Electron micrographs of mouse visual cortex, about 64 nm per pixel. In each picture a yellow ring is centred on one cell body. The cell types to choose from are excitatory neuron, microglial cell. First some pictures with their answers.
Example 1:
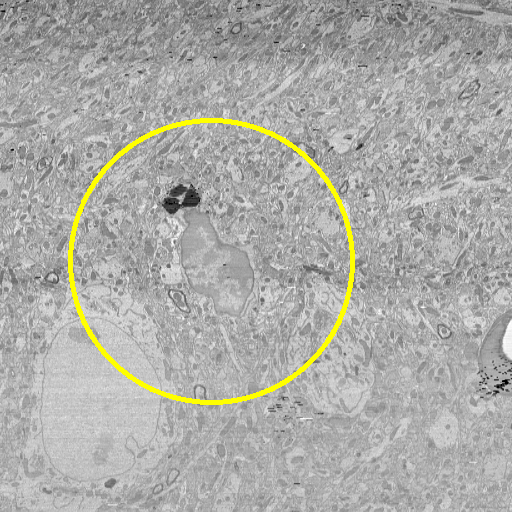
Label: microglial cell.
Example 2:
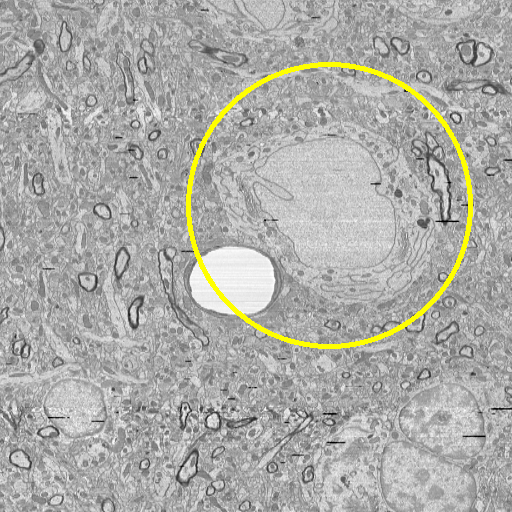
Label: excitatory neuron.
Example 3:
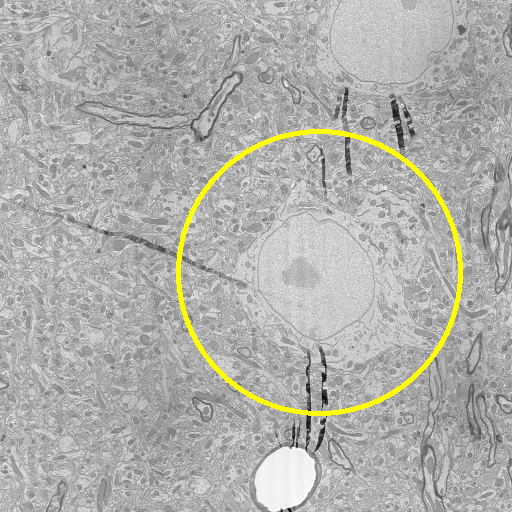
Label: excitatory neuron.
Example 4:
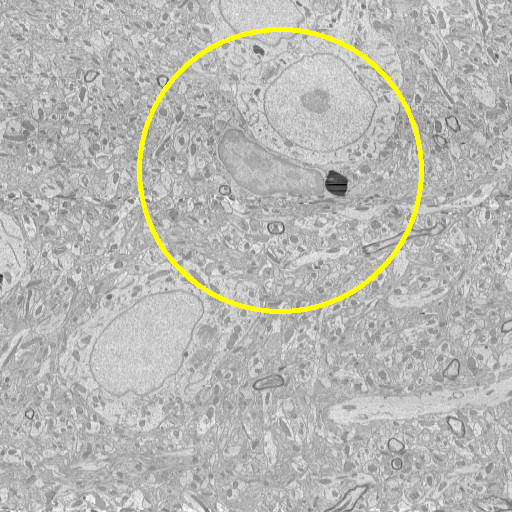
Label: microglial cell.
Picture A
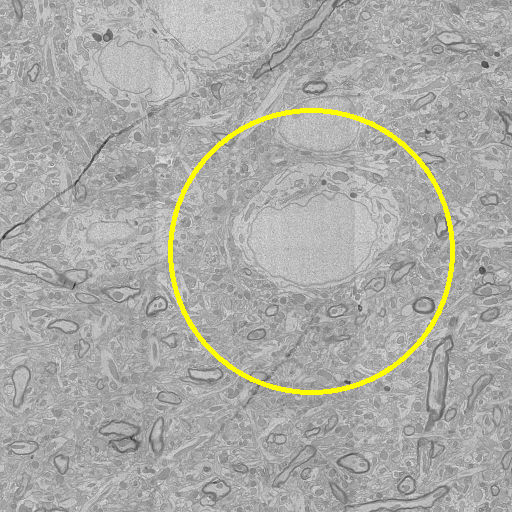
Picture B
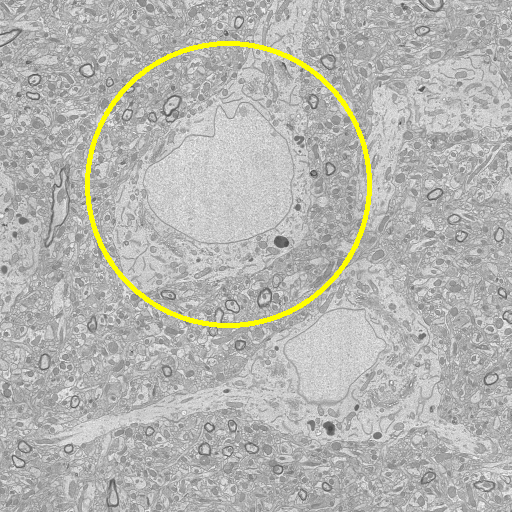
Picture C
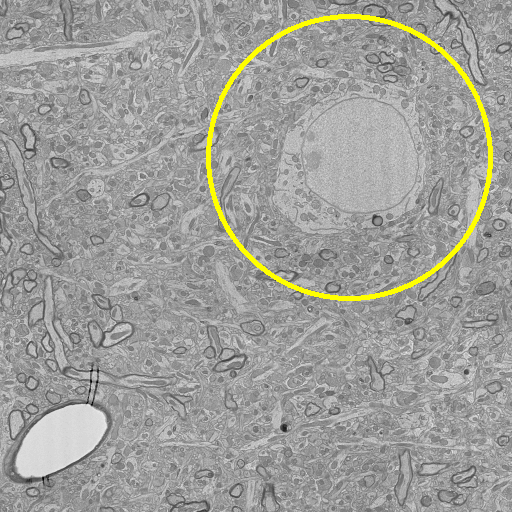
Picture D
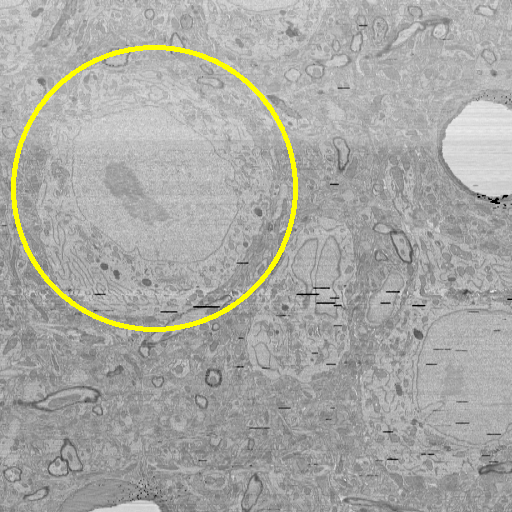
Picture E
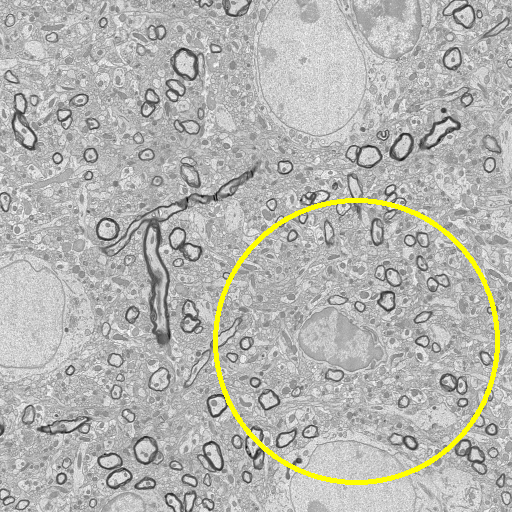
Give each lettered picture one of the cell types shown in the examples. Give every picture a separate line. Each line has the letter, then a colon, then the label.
A: excitatory neuron.
B: excitatory neuron.
C: excitatory neuron.
D: excitatory neuron.
E: microglial cell.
